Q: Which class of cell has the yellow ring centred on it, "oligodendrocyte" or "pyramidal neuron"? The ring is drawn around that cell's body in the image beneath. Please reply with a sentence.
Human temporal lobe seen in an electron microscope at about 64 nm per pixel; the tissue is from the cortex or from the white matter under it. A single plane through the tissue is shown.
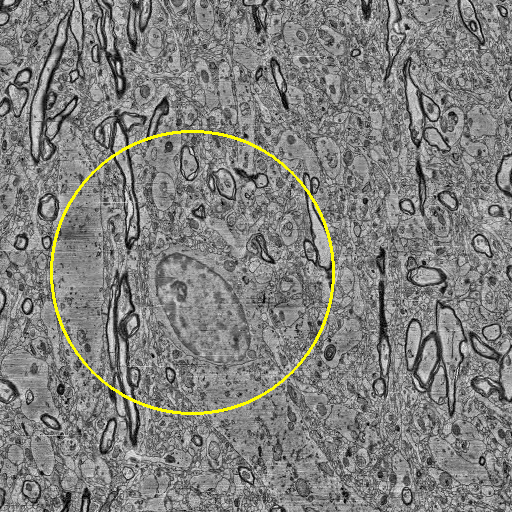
It is centred on an oligodendrocyte.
